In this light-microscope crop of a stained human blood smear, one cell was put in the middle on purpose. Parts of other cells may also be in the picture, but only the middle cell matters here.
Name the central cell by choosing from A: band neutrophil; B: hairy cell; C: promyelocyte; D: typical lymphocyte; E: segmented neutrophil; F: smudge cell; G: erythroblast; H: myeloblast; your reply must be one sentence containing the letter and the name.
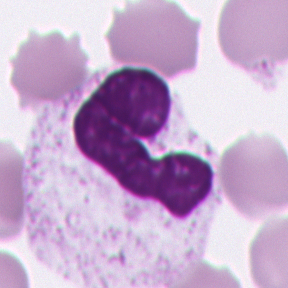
Identified correctly by option E, the cell in the middle is a segmented neutrophil.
